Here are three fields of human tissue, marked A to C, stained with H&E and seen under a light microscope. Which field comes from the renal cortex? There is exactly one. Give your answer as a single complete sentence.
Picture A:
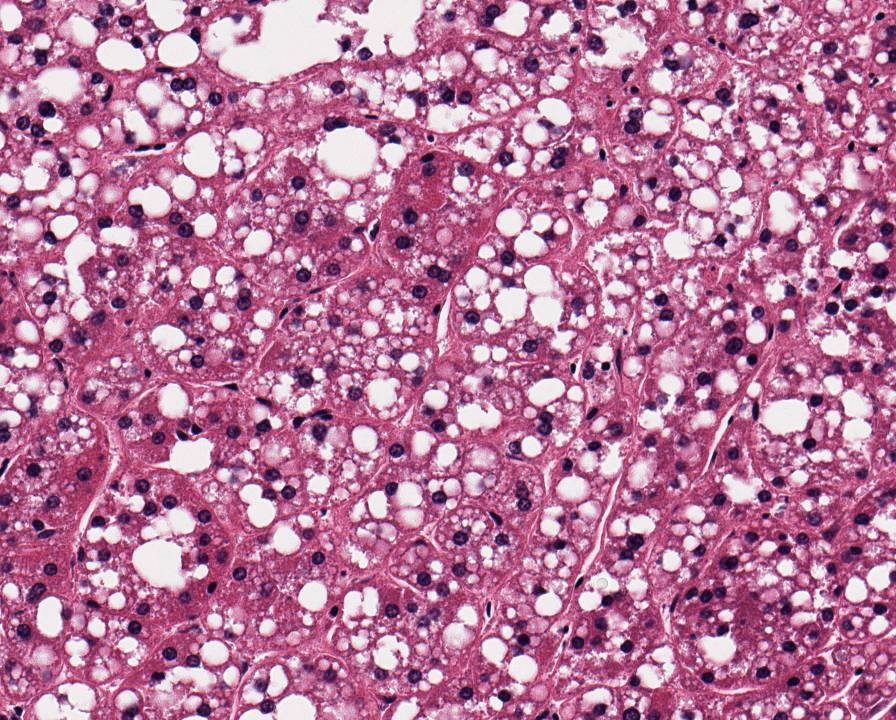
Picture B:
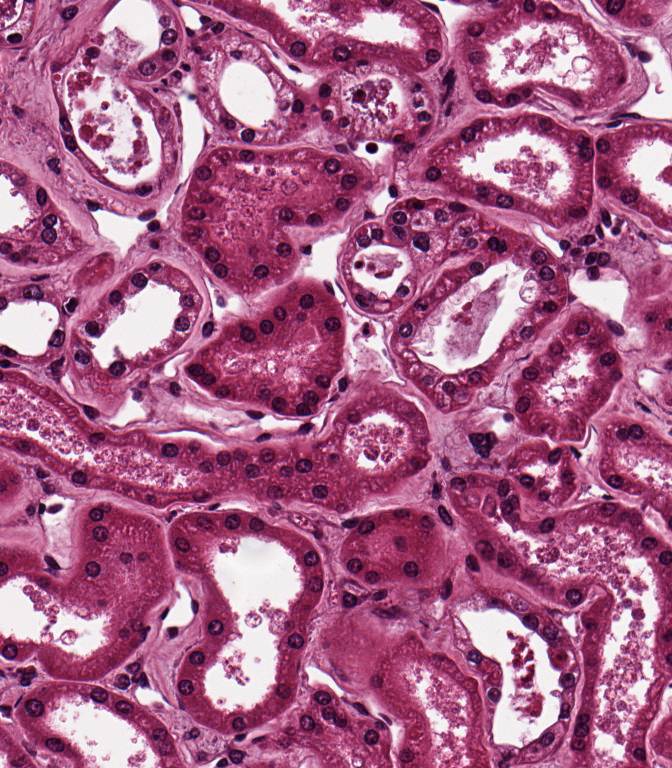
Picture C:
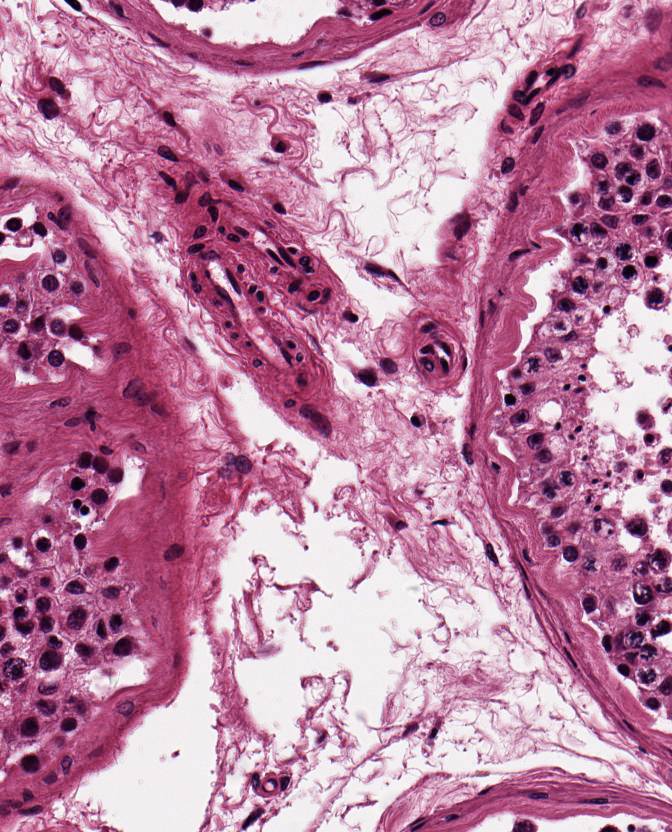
Picture B comes from the renal cortex.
